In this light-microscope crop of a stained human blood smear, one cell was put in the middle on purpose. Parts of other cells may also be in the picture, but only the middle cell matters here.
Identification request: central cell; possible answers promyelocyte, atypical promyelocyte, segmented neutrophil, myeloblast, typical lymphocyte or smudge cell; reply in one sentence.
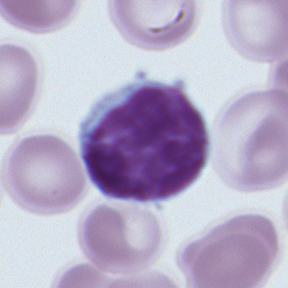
The cell around which this crop is centred is a typical lymphocyte.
